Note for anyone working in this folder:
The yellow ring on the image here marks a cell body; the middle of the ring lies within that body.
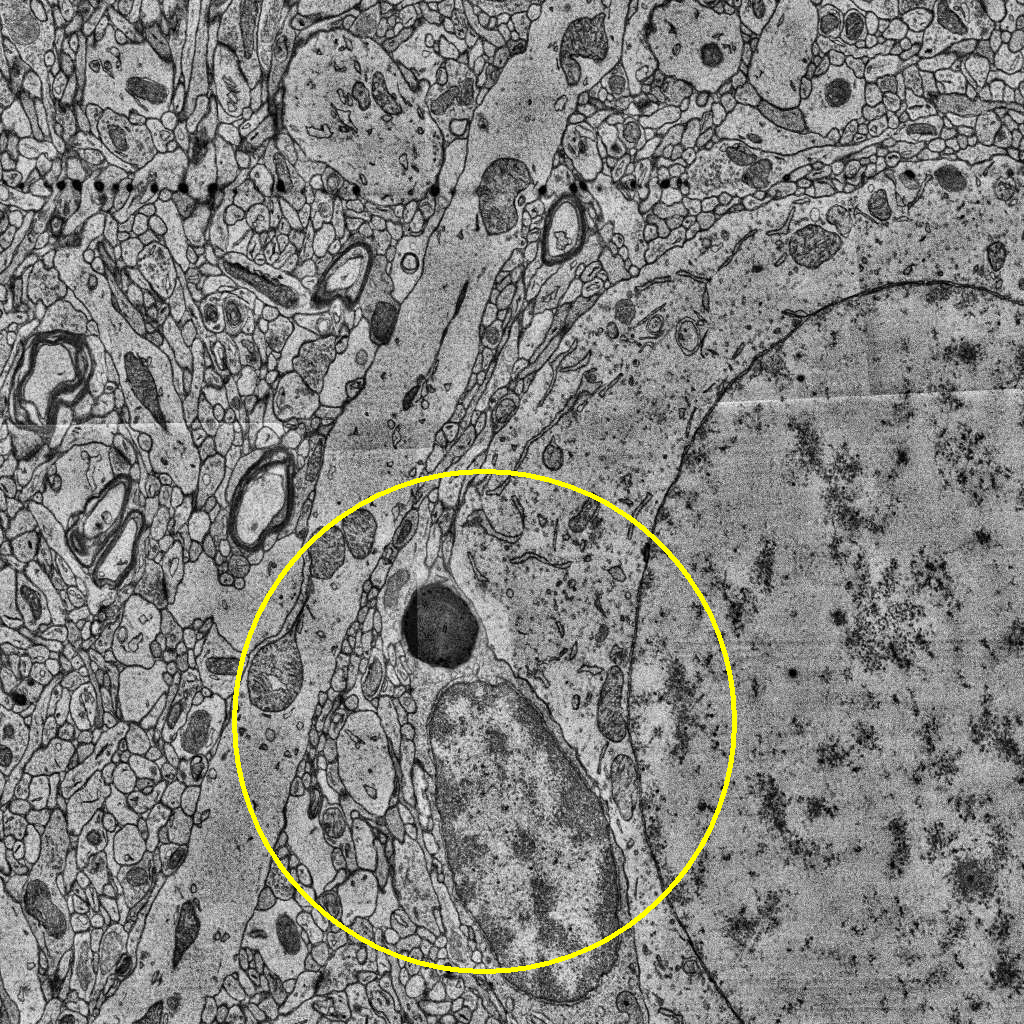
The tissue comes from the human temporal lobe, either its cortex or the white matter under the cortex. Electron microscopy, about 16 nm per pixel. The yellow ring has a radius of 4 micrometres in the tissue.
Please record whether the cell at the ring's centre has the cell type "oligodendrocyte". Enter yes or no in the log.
yes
